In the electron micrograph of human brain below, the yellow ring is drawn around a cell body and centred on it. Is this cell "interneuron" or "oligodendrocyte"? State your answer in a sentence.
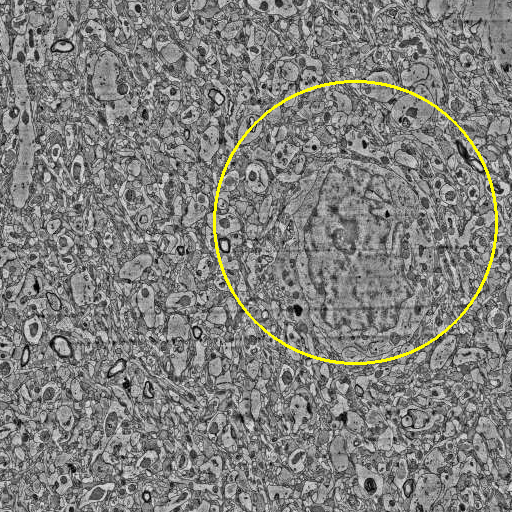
The cell in the middle of the ring is an interneuron.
